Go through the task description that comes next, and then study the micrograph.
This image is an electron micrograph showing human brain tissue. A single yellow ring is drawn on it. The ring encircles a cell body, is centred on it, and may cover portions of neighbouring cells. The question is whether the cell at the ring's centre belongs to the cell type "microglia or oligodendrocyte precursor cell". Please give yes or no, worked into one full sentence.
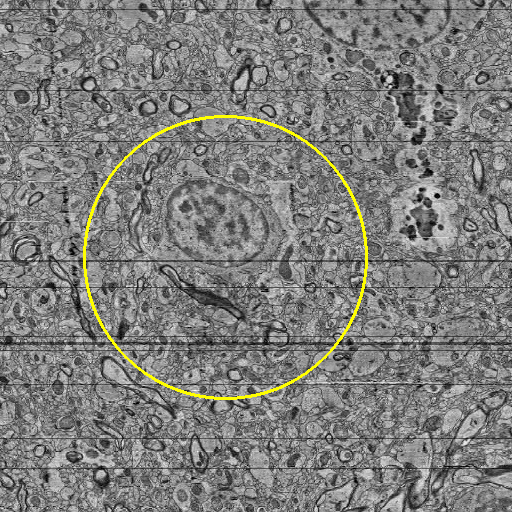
No, the cell that the ring is centred on in the micrograph is of another kind.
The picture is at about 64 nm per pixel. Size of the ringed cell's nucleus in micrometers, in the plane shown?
In this plane, about 7 micrometres in length and 5 in width.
